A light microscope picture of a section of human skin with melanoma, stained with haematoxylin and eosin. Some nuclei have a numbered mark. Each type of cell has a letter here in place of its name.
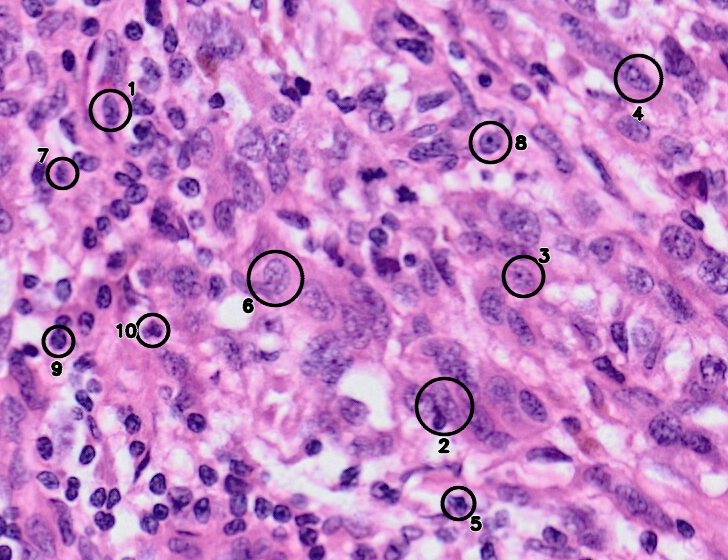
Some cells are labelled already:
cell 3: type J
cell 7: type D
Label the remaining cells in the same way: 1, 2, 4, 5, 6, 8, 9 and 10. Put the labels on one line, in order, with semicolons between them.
type D; type J; type J; type D; type J; type D; type D; type D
